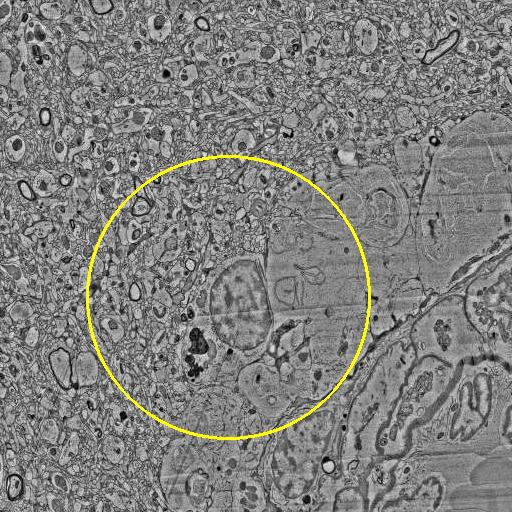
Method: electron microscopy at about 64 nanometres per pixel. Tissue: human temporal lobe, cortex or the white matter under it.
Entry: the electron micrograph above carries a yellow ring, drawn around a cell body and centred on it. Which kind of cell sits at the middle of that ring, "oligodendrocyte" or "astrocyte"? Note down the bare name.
oligodendrocyte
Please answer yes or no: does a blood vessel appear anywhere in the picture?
Yes, a vessel shows somewhere in the image.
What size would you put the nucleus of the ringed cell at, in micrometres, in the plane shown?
Approximately 6 by 4 micrometers in this plane.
